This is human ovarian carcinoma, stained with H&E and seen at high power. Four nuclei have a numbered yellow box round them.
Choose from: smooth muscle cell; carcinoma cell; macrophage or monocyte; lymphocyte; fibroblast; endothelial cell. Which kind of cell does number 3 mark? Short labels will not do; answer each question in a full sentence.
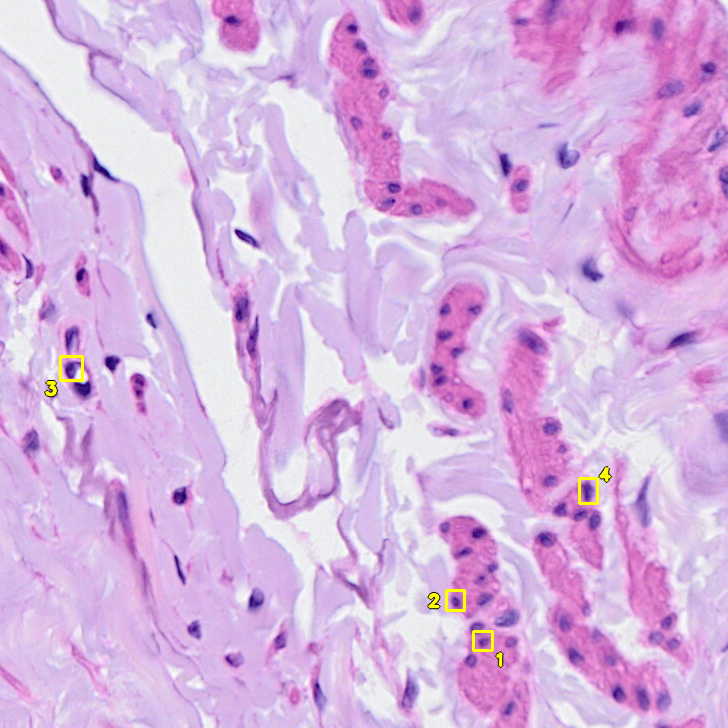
The expected answer is that cell 3 is an endothelial cell.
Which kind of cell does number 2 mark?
The cell with the number 2 is a smooth muscle cell.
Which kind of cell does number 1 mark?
The cell with the number 1 is a smooth muscle cell.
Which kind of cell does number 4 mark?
The one labeled 4 is a smooth muscle cell, to put it simply.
